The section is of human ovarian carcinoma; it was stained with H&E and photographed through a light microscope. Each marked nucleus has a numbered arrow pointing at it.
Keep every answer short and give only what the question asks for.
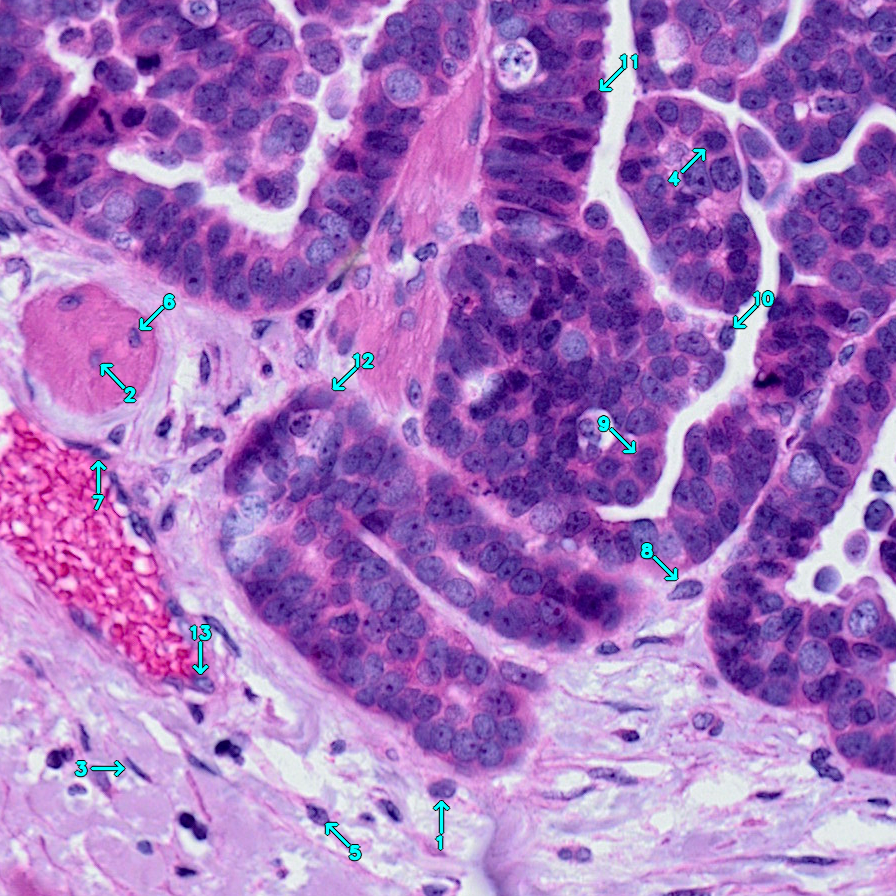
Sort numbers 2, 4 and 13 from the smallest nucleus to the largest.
2, 13, 4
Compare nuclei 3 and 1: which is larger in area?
1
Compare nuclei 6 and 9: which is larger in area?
9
